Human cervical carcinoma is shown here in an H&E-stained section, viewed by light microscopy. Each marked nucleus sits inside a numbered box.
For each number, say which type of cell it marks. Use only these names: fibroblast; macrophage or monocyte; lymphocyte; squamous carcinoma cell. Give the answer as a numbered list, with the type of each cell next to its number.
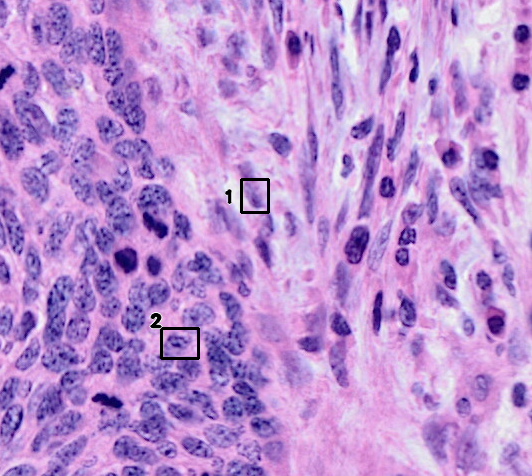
1. fibroblast
2. squamous carcinoma cell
